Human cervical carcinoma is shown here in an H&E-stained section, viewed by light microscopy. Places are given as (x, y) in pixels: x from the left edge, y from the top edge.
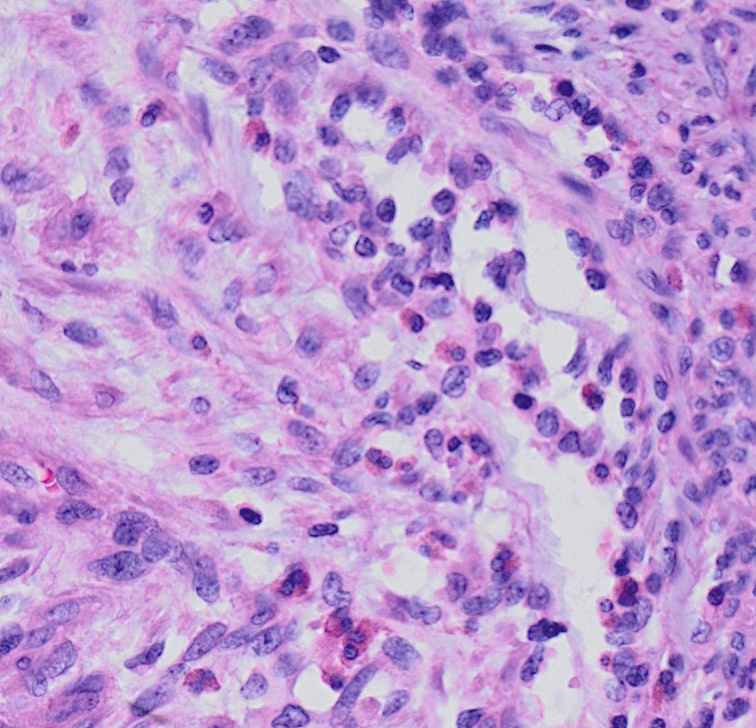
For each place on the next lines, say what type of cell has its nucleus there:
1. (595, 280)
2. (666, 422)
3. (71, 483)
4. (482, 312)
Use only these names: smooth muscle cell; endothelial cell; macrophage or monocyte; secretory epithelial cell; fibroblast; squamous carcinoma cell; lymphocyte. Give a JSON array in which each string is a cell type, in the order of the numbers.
["lymphocyte", "lymphocyte", "endothelial cell", "lymphocyte"]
